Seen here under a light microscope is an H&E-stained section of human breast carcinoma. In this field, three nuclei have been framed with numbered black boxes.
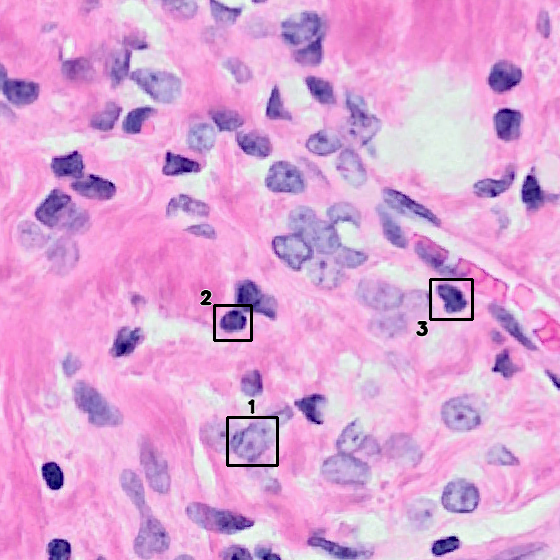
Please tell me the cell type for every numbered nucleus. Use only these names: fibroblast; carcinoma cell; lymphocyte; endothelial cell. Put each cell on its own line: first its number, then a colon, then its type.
1: carcinoma cell
2: lymphocyte
3: lymphocyte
